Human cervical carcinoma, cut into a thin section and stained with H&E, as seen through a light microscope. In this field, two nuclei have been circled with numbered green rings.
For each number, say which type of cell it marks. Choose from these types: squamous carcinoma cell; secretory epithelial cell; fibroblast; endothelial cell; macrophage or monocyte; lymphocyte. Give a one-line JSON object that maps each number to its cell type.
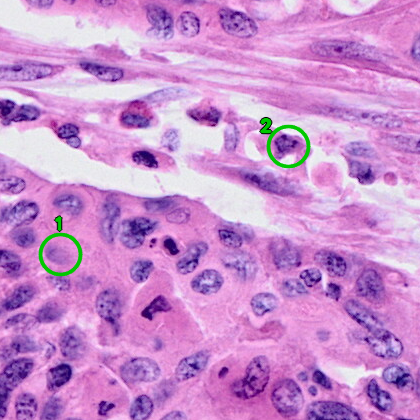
{"1": "squamous carcinoma cell", "2": "macrophage or monocyte"}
